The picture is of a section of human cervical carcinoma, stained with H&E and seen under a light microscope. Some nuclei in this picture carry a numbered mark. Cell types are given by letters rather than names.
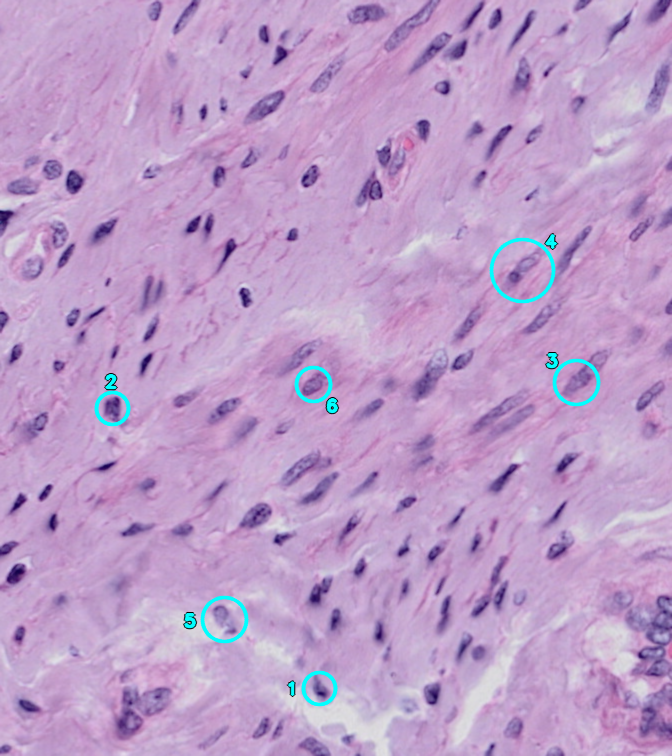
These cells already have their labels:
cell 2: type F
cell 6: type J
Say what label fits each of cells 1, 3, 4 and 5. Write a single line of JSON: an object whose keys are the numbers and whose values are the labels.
{"1": "type F", "3": "type J", "4": "type J", "5": "type F"}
